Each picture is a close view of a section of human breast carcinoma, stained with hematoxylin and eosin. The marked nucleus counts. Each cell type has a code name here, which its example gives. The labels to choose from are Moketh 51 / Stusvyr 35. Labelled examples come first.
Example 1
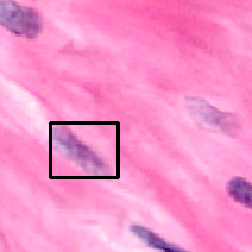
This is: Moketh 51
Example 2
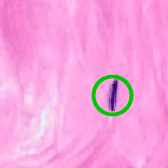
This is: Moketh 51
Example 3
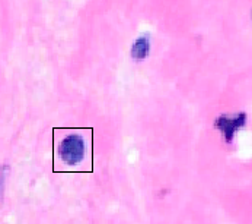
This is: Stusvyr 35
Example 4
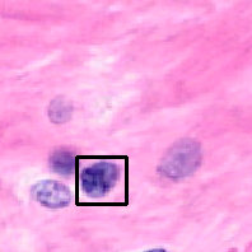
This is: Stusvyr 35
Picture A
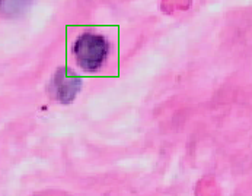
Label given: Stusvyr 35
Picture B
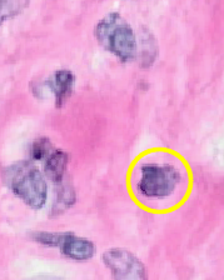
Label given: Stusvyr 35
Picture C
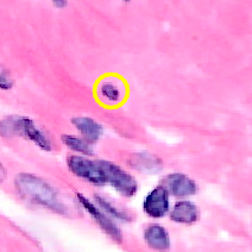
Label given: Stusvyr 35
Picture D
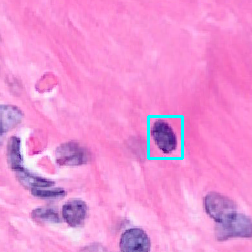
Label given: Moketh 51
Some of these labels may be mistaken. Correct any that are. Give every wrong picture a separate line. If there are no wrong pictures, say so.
D: not Moketh 51 but Stusvyr 35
